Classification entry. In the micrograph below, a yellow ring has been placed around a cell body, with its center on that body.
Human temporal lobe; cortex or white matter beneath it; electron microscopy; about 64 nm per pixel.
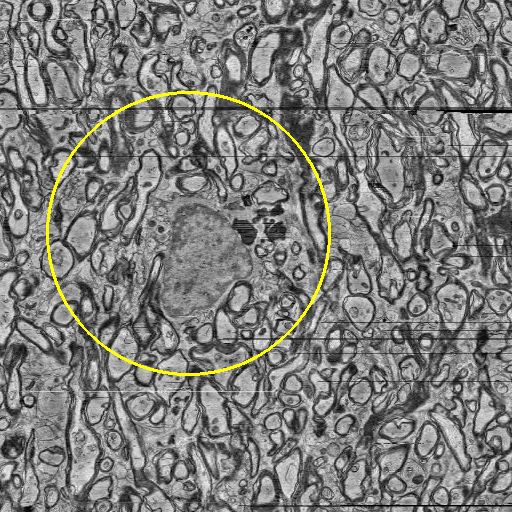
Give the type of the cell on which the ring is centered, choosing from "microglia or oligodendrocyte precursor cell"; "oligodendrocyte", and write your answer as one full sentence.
The cell body at the center of the yellow ring belongs to an oligodendrocyte.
